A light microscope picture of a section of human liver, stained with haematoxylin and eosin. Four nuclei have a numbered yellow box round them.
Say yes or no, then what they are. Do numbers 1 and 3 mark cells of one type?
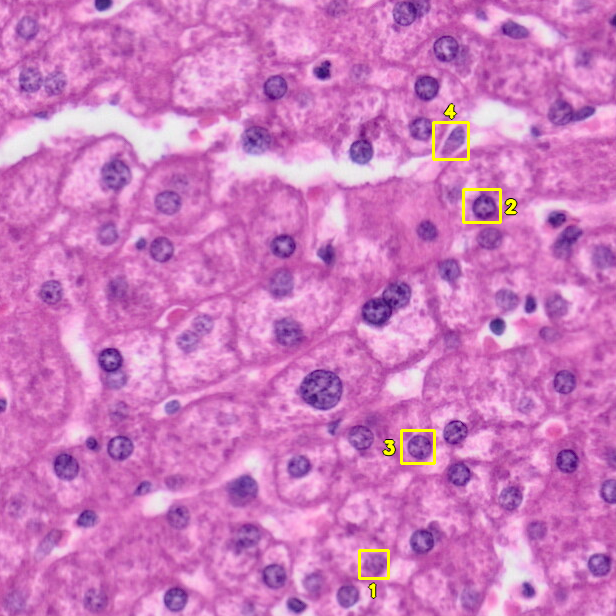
Yes, within the numbered set, cells 1 and 3 are both hepatocytes.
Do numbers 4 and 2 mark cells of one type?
No, cell 4 is a Kupffer cell and cell 2, for its part, is a hepatocyte.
